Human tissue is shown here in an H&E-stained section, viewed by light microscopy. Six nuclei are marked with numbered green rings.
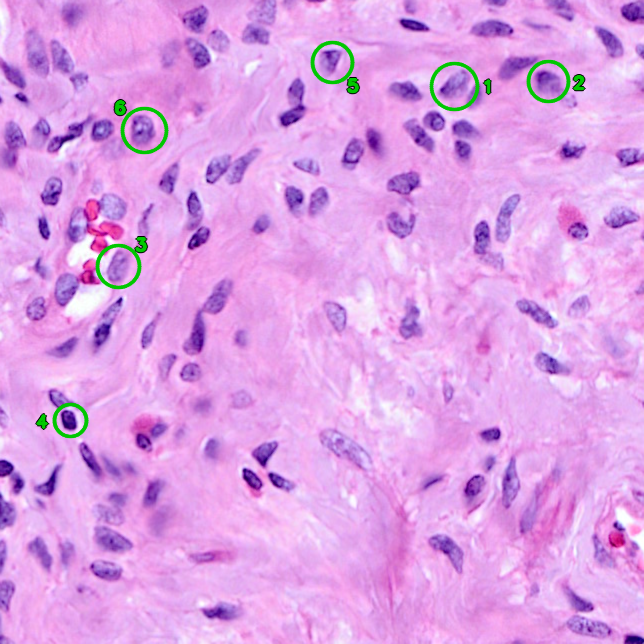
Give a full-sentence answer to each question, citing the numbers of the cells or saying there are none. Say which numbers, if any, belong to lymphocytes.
The only cell among those numbered to be a lymphocyte is number 4.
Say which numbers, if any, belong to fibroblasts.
The cells numbered 1, 2 and 5 are of one kind: fibroblasts.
